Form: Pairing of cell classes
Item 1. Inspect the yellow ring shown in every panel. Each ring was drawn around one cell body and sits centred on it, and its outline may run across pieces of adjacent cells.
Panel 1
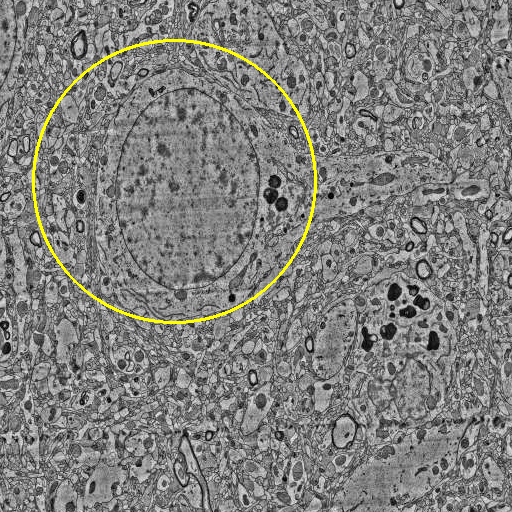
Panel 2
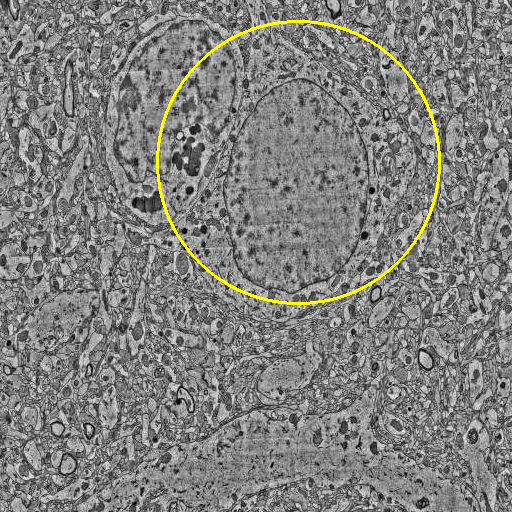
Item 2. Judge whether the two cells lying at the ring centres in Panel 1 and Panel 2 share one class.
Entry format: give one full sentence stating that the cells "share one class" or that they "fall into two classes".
The cells at the ring centres in Panel 1 and Panel 2 share one class.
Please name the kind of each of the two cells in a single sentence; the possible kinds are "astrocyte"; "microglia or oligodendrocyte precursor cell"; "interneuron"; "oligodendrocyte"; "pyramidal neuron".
Each of the ringed cells, first and second, is a pyramidal neuron.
